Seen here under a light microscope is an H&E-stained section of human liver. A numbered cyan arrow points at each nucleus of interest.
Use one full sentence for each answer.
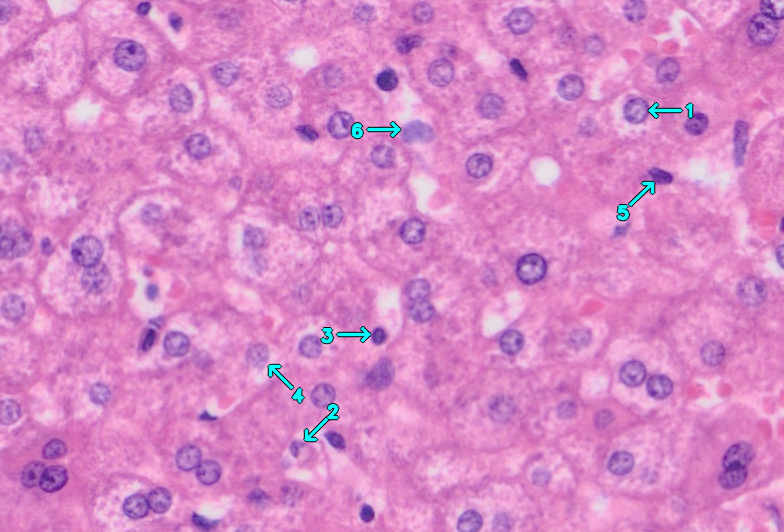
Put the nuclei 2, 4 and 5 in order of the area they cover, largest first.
Going from the biggest nucleus down to the smallest gives 4, 5, 2.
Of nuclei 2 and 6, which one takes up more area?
Nucleus 6 covers more area, about 4 times as much as nucleus 2.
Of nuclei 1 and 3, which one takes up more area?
The larger nucleus is 1, at roughly 2 times the area of 3.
